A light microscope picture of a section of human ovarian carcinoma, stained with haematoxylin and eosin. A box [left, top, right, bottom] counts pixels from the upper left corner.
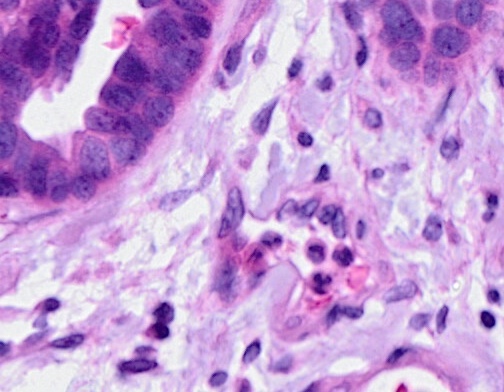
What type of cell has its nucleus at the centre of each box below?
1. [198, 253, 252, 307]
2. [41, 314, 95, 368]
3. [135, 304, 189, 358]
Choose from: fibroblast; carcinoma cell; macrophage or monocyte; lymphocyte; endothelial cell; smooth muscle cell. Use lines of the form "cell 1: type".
cell 1: endothelial cell
cell 2: fibroblast
cell 3: lymphocyte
